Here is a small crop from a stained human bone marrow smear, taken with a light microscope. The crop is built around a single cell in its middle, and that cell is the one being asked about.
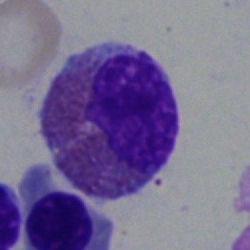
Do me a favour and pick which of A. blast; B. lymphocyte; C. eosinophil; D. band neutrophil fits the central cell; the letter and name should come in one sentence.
Option C is the correct one; it names the central cell as an eosinophil.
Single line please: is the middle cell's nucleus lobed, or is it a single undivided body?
The nucleus amounts to one compact mass with a round, oval or kidney-shaped outline.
